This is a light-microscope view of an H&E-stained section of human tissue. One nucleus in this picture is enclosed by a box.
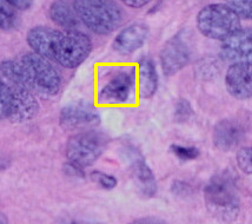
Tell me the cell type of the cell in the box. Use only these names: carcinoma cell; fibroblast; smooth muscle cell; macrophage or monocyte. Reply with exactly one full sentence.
As to its cell type, the cell in the box is a macrophage or monocyte.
